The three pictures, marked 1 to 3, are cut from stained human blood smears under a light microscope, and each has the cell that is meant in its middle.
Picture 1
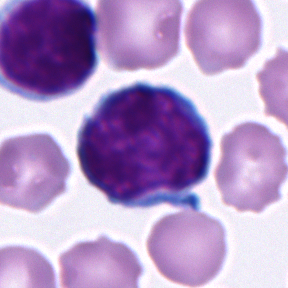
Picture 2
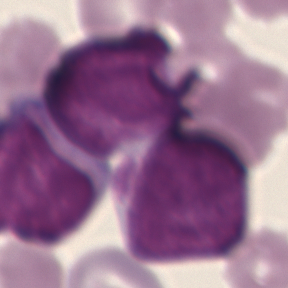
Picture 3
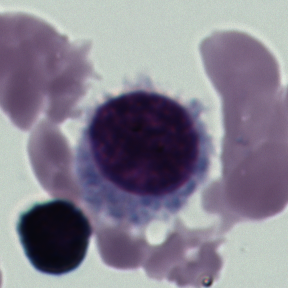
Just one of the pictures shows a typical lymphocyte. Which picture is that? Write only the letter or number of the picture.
1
